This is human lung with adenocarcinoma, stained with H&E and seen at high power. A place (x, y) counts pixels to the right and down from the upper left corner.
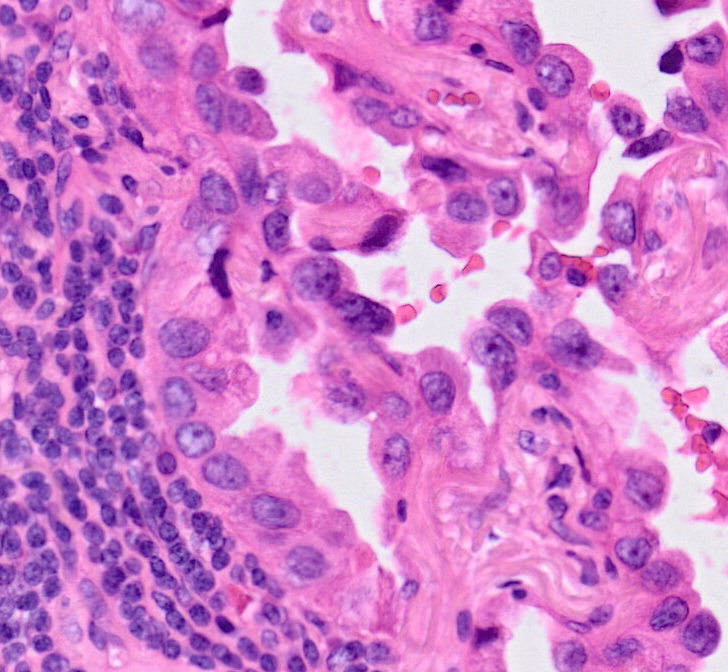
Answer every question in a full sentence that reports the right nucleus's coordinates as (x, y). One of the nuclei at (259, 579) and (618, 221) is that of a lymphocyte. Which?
The nucleus at (259, 579) is attributed to a lymphocyte, unlike the other nucleus.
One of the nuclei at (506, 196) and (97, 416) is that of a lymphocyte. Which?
Of the two candidate nuclei, the one at (97, 416) is that of a lymphocyte.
